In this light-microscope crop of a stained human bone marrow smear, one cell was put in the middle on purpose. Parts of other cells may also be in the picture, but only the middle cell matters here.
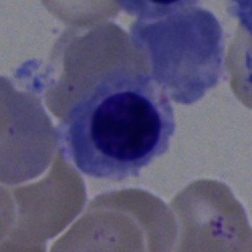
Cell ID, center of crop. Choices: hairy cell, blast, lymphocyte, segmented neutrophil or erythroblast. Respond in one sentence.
The centrally placed cell is classified as an erythroblast.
